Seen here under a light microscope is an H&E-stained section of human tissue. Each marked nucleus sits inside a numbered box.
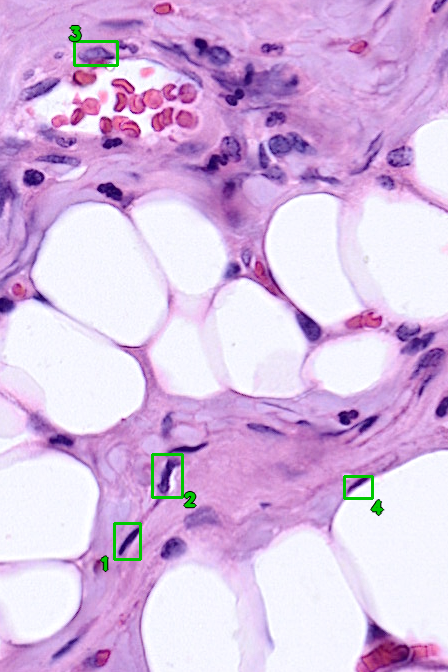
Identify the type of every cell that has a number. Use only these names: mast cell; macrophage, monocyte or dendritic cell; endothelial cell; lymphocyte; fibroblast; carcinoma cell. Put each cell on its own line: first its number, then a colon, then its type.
1: fibroblast
2: fibroblast
3: endothelial cell
4: fibroblast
